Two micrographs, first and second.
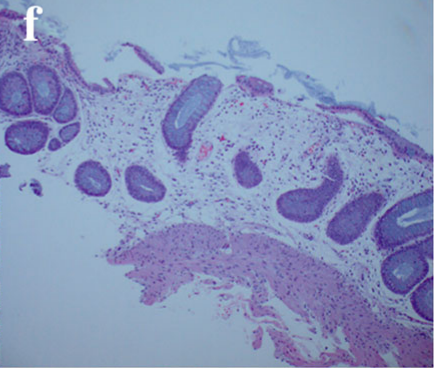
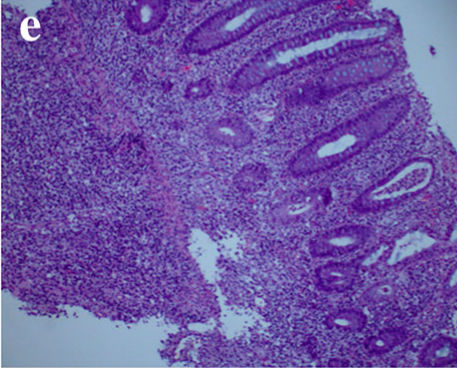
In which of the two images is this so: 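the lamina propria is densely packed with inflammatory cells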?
The second image.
